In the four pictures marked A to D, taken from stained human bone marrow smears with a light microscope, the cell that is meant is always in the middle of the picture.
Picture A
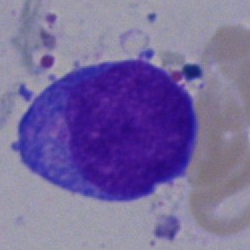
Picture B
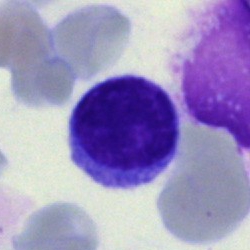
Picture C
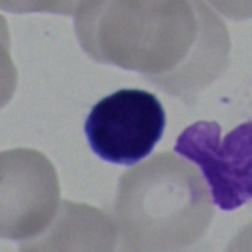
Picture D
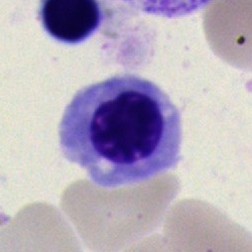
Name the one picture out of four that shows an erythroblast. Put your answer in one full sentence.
Picture D shows the erythroblast.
